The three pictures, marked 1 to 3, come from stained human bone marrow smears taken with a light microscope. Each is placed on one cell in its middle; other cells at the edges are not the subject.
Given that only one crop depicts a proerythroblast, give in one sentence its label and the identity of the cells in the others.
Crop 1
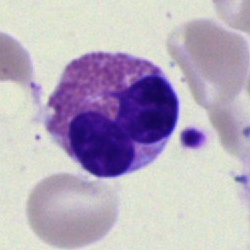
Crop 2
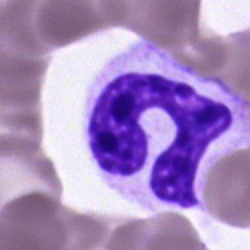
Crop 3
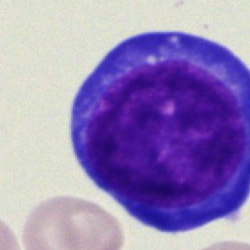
The cell at the centre of crop 3 is a proerythroblast, while crop 1 is an eosinophil and crop 2 is a band neutrophil.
